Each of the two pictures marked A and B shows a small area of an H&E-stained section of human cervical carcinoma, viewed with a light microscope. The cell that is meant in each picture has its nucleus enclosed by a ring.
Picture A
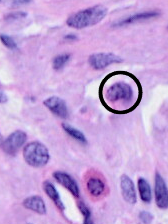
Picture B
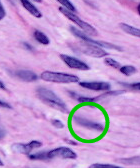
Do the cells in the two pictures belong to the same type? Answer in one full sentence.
No, picture A shows a “macrophage or monocyte” and picture B shows a fibroblast.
